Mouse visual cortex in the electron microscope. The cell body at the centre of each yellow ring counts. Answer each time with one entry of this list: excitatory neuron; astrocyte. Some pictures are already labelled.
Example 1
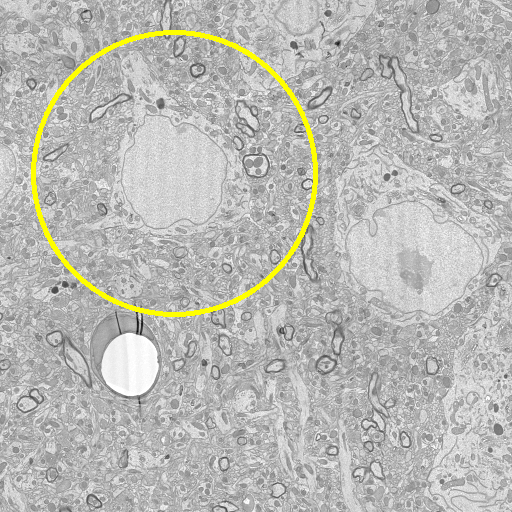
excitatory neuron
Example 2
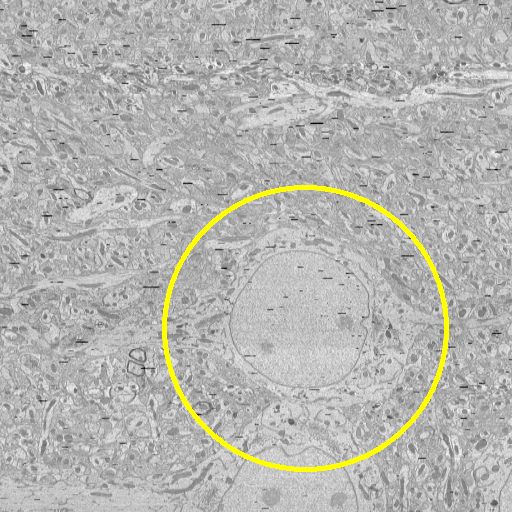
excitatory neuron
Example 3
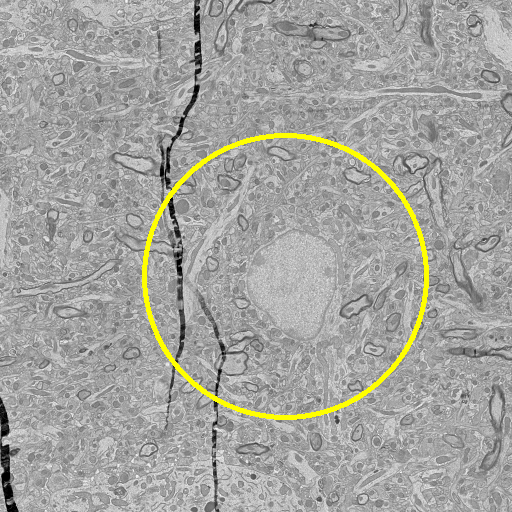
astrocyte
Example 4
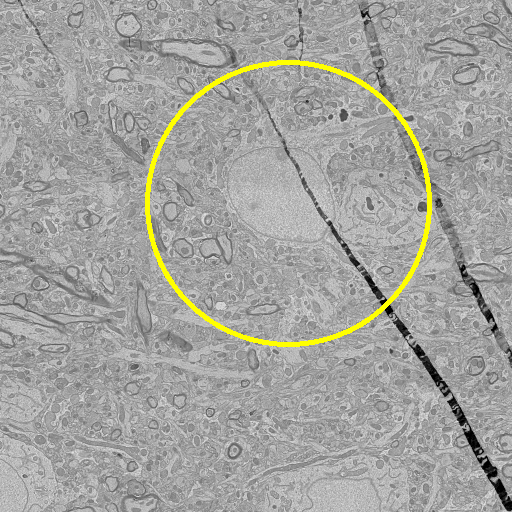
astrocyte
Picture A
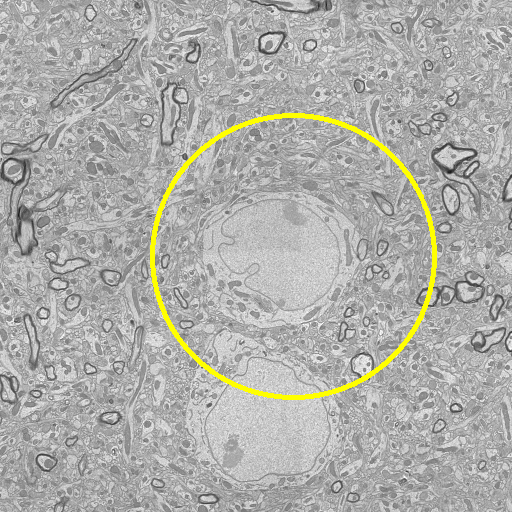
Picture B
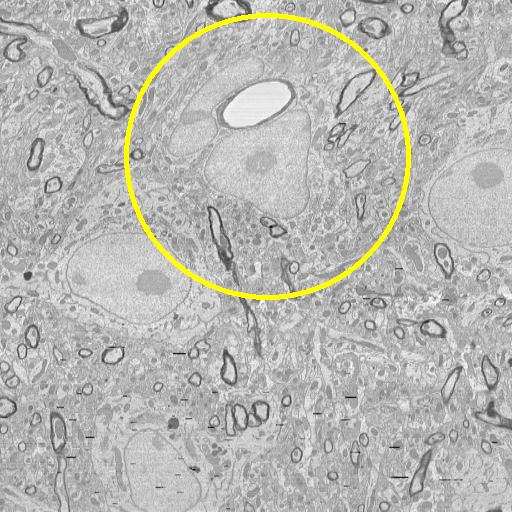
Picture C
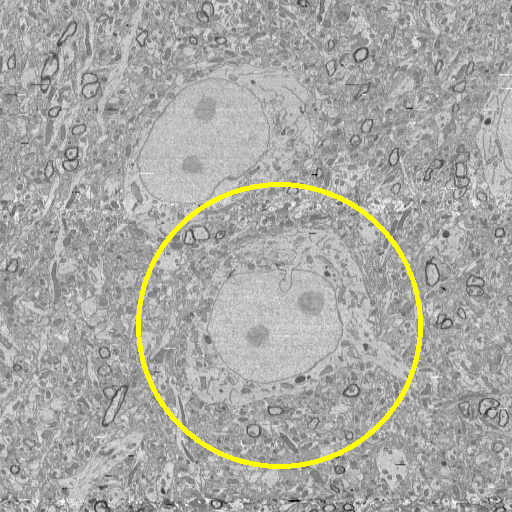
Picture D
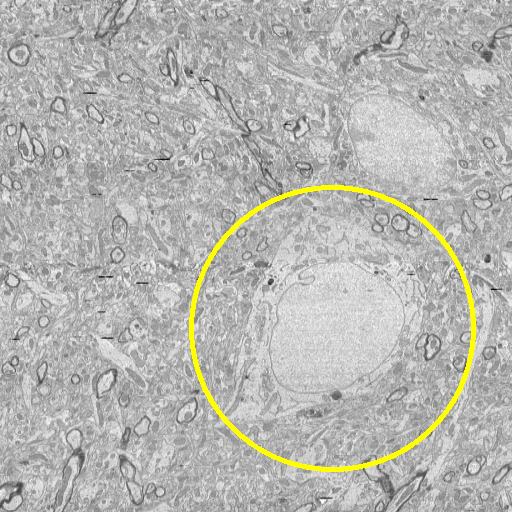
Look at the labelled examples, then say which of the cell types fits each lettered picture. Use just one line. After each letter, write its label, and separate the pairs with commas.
A excitatory neuron, B astrocyte, C excitatory neuron, D excitatory neuron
